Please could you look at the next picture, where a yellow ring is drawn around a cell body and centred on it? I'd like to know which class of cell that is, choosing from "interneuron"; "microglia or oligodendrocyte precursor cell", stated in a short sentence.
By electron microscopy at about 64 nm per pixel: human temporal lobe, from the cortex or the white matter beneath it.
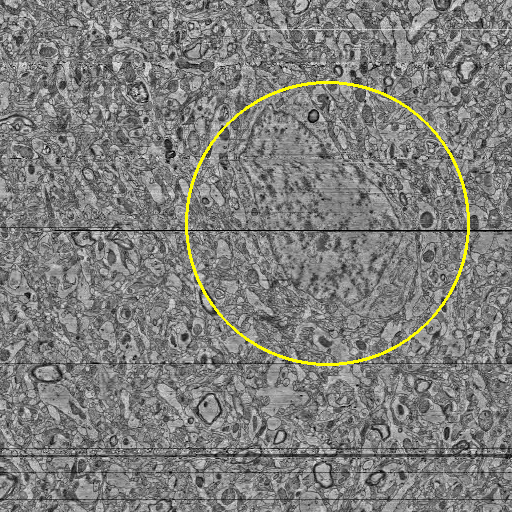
The ring's centre lies on an interneuron.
